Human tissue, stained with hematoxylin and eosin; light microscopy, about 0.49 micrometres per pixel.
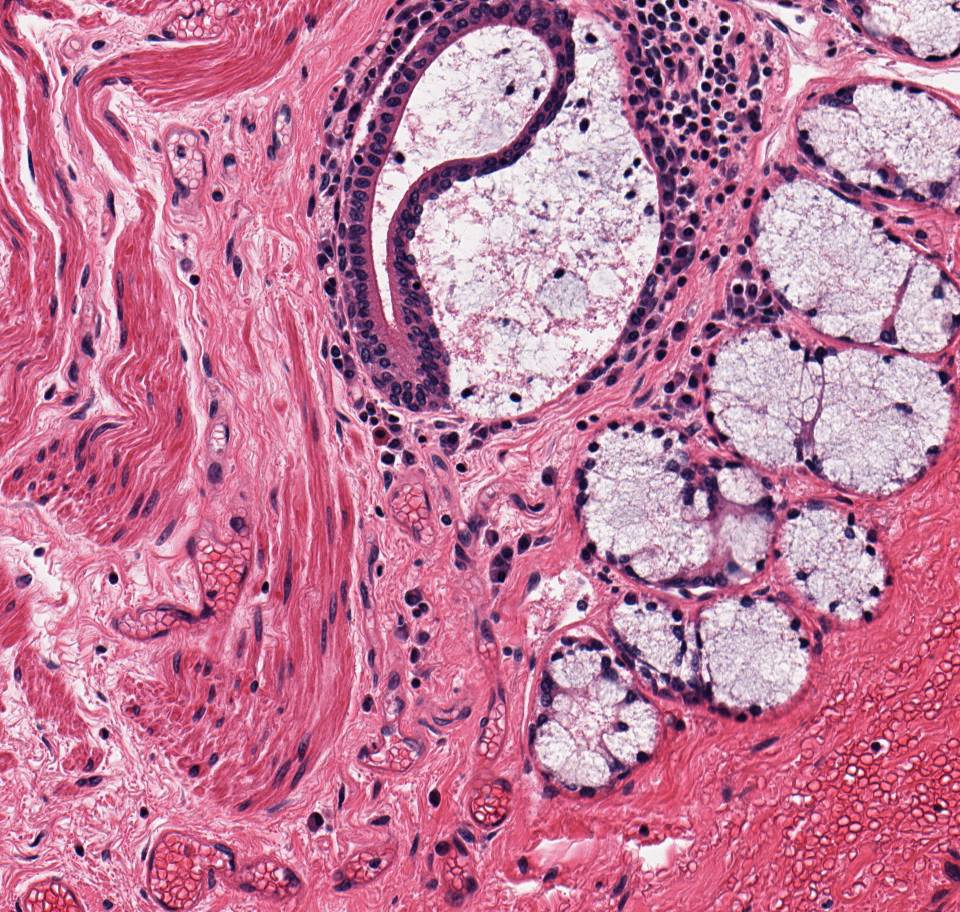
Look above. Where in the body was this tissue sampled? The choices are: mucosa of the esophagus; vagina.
mucosa of the esophagus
